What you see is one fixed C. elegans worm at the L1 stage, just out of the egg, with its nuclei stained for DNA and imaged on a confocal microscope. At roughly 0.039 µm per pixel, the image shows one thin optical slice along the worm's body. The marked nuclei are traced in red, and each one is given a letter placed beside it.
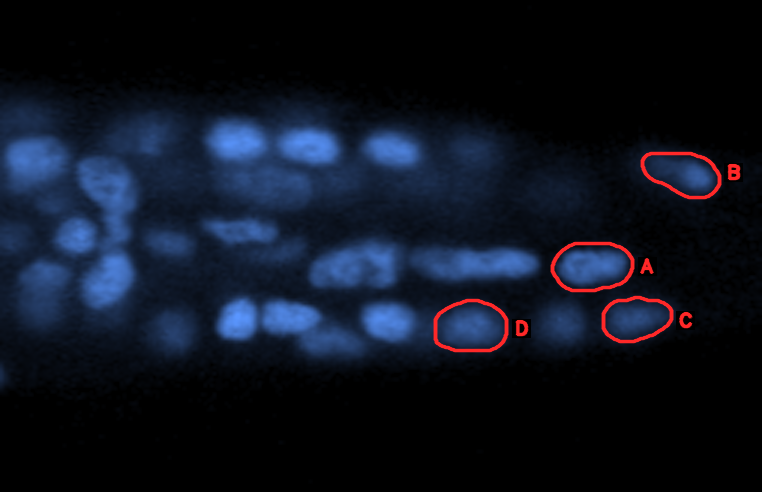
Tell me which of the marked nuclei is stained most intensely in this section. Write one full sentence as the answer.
A is the most strongly stained.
